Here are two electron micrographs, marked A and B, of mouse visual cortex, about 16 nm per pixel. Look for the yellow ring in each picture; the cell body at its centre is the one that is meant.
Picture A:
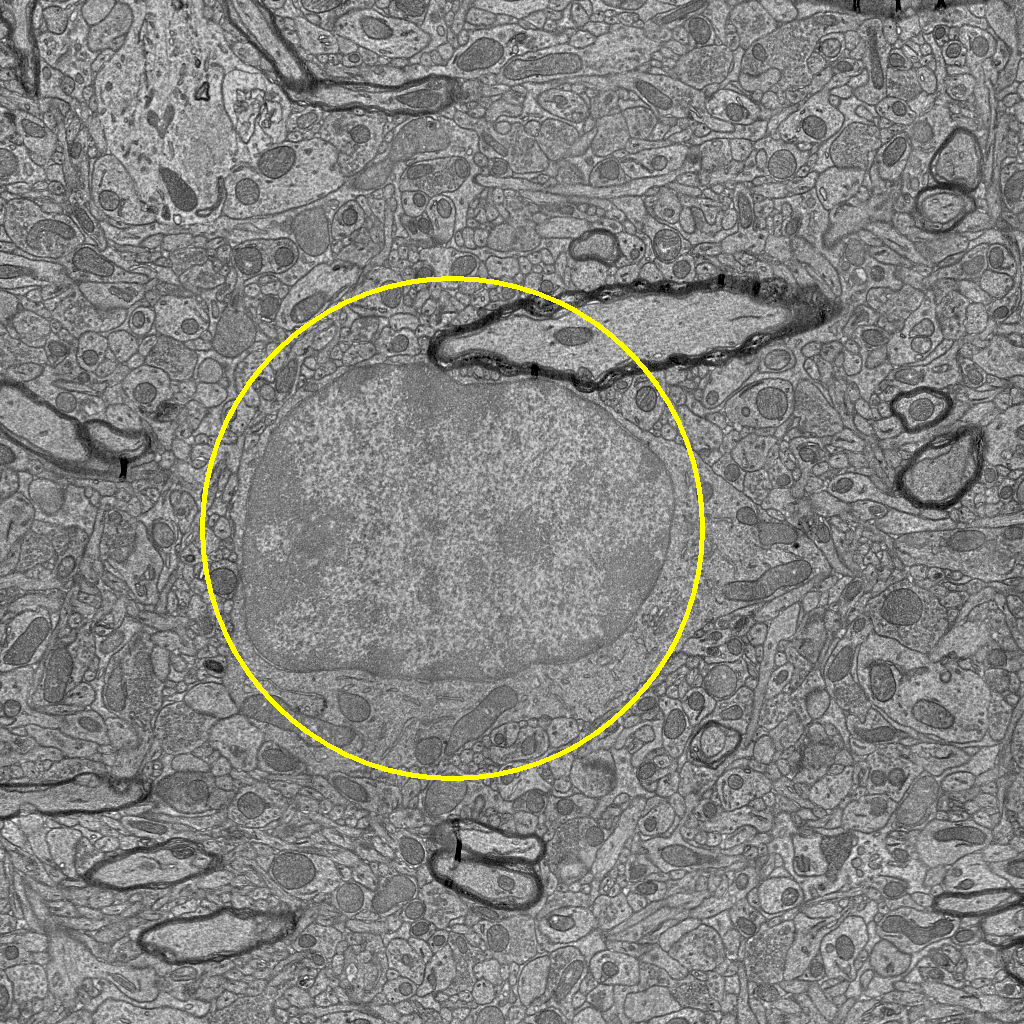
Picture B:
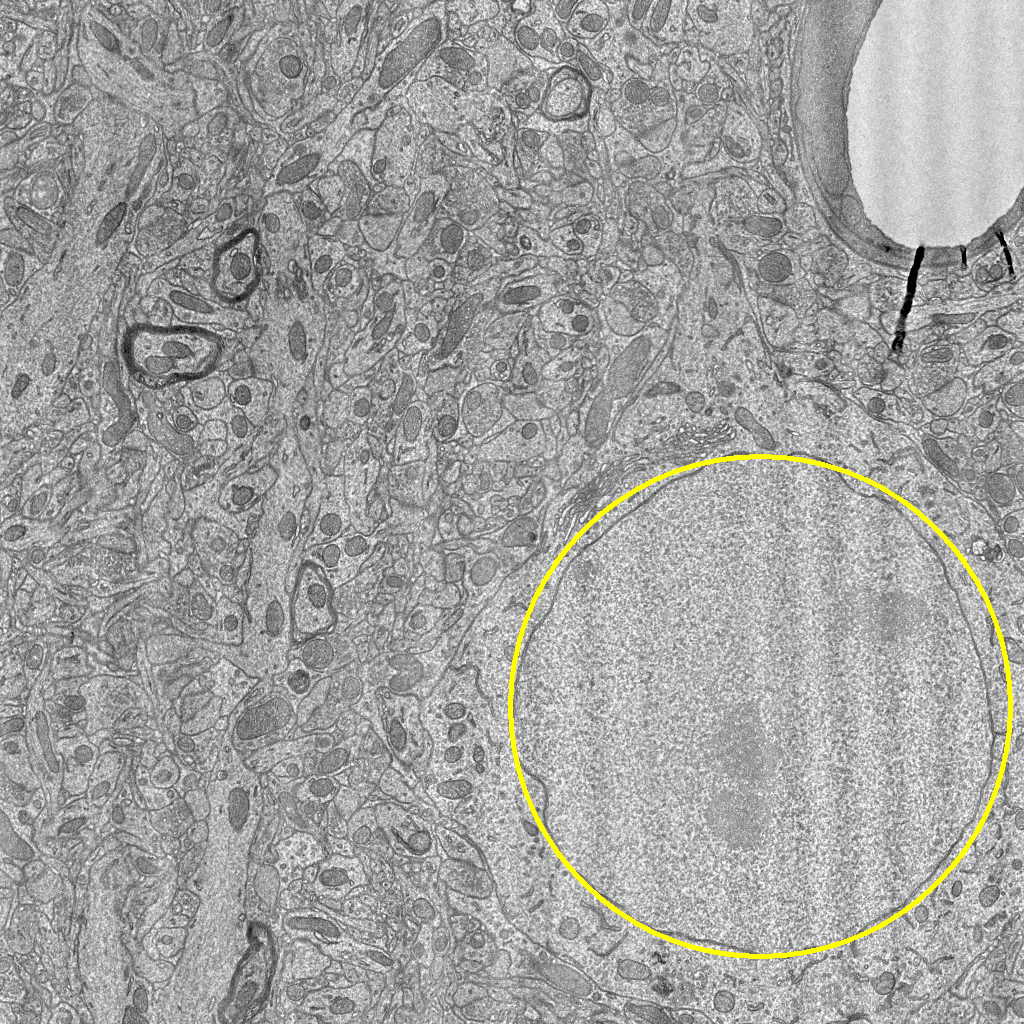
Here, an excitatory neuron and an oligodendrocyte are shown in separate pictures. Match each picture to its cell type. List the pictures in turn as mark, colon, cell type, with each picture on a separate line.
A: oligodendrocyte
B: excitatory neuron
